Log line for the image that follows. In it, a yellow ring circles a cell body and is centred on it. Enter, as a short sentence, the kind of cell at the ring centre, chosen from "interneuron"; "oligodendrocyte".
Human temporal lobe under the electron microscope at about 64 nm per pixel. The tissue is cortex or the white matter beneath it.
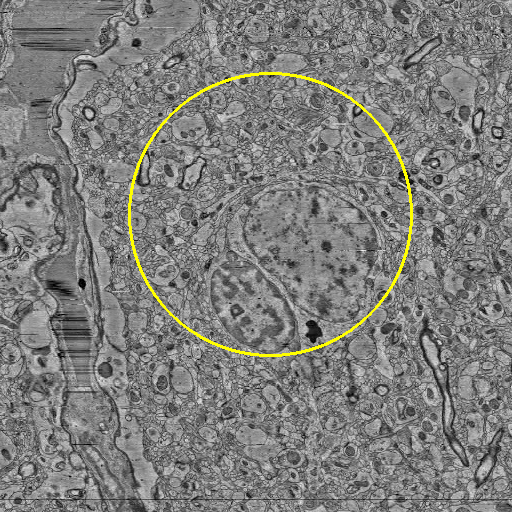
The ring centre is occupied by an interneuron.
